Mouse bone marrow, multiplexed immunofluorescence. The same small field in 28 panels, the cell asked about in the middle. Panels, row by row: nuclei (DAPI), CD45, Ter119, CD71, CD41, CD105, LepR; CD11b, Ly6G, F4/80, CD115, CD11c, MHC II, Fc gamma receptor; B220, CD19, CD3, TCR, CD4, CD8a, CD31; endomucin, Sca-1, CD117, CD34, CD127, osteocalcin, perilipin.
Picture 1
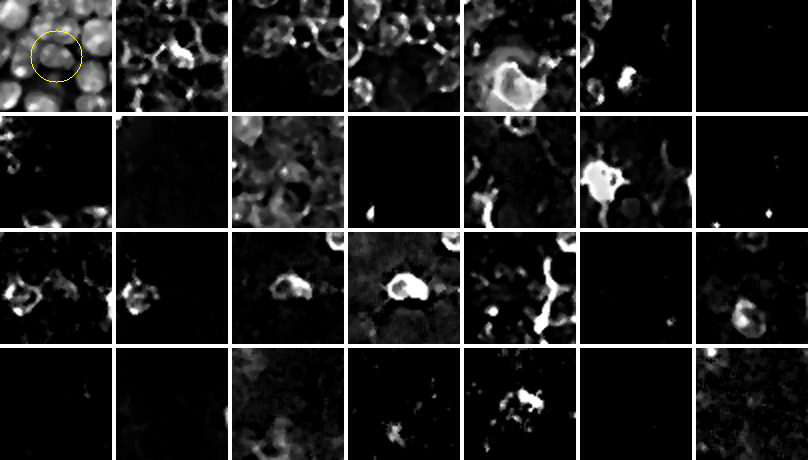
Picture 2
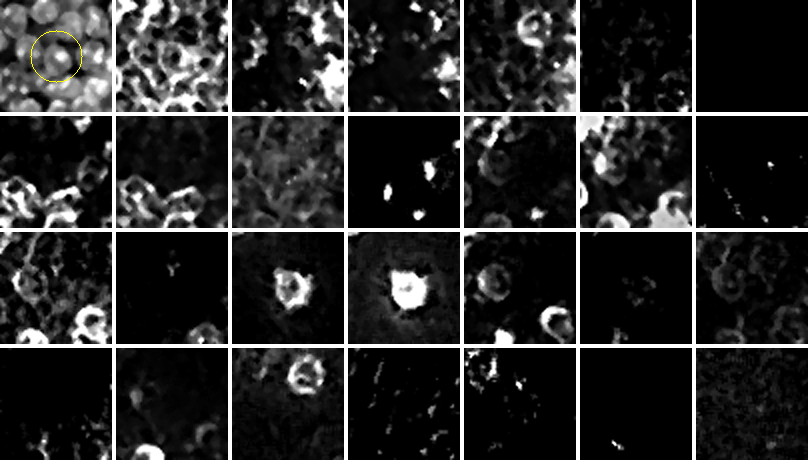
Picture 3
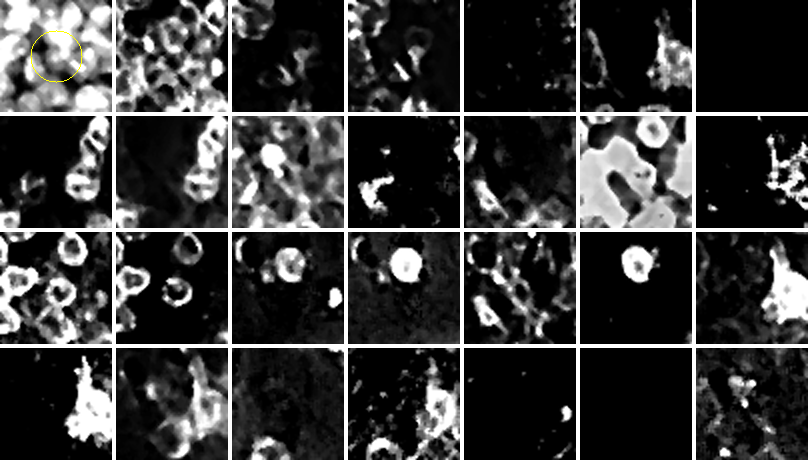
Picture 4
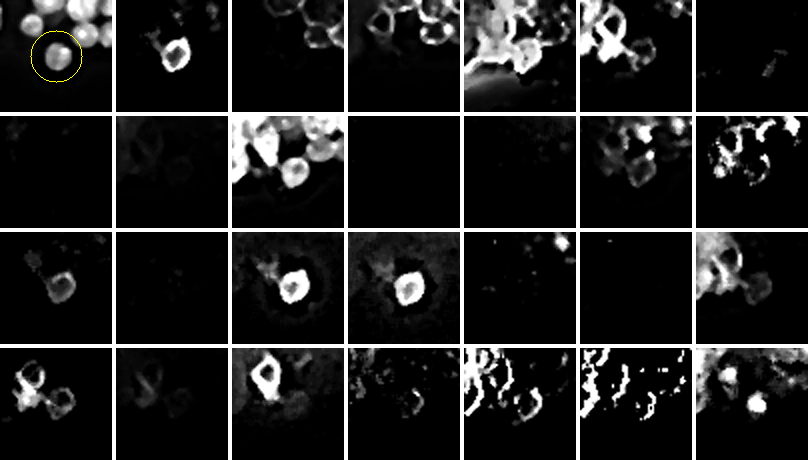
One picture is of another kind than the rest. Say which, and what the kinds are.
Picture 3 shows a B cell; the rest show double-negative T cells.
